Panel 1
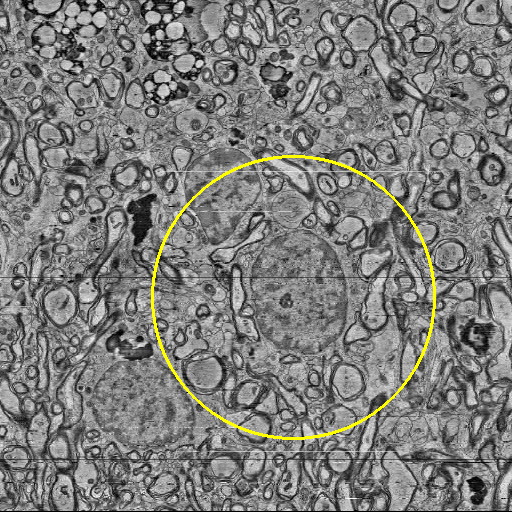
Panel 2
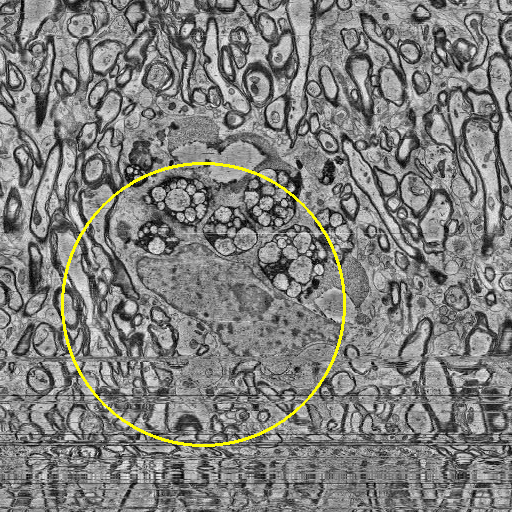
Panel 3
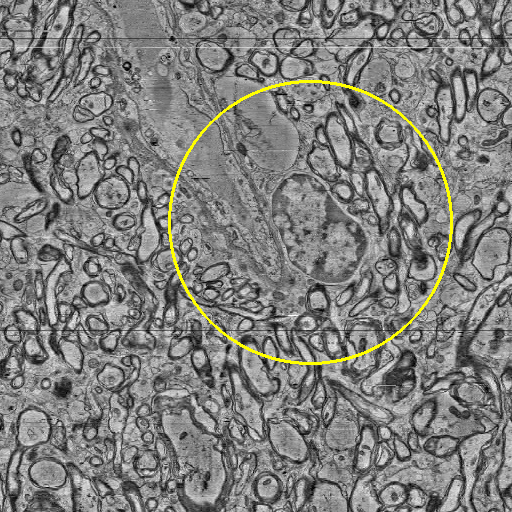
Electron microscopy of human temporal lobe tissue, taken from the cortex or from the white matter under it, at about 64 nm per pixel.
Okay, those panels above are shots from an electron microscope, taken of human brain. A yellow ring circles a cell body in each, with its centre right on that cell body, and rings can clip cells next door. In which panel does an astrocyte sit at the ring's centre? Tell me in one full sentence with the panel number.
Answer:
The cell you asked for sits at the ring's centre in panel 2.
